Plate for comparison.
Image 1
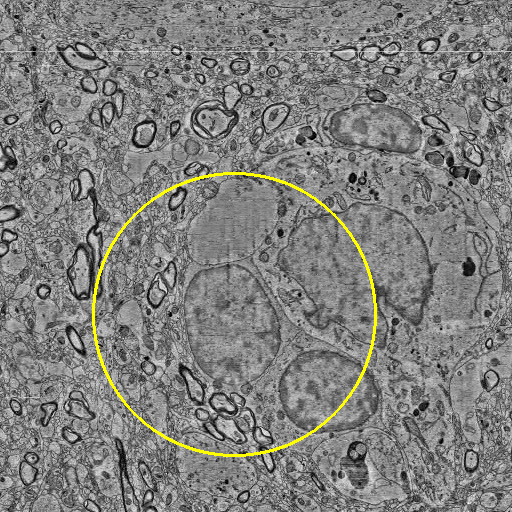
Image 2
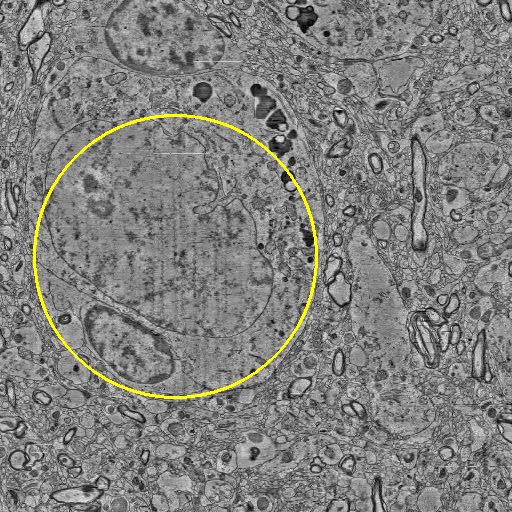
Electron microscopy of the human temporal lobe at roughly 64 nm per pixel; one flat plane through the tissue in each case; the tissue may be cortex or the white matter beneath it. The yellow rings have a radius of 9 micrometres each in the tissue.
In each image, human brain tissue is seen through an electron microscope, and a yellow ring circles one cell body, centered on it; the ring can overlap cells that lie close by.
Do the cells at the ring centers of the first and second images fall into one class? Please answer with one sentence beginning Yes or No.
No, the first and second images show two classes of cell at the ring centers.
